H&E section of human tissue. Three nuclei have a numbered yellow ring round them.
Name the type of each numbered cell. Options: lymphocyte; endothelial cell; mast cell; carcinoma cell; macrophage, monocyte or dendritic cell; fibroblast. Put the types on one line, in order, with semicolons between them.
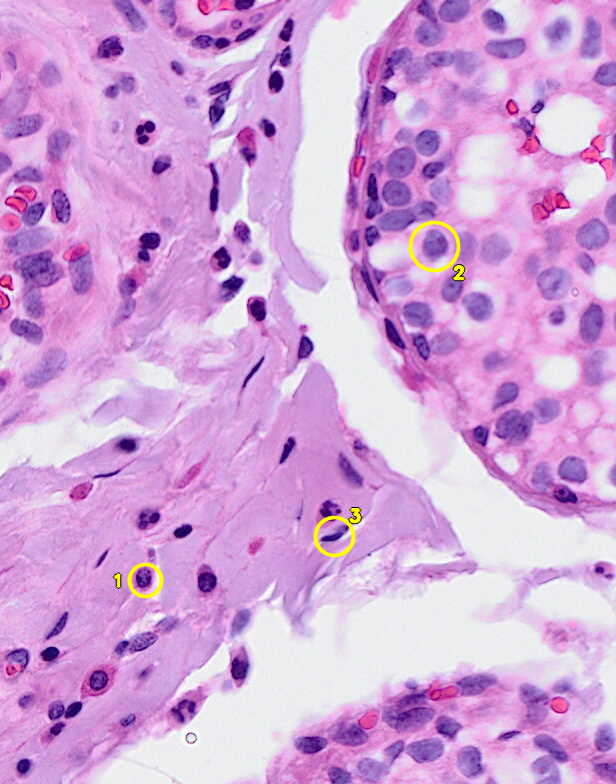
mast cell; carcinoma cell; fibroblast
